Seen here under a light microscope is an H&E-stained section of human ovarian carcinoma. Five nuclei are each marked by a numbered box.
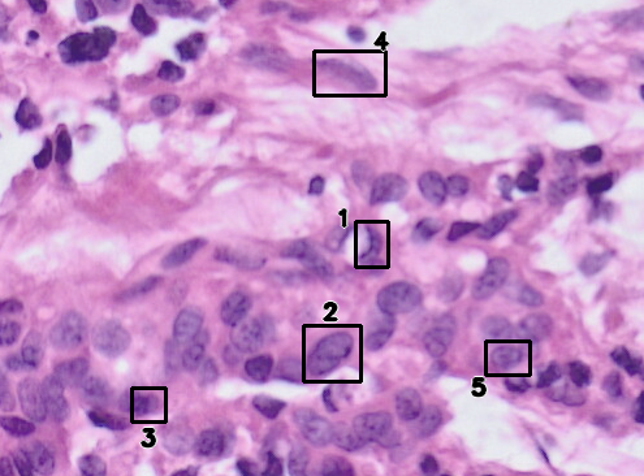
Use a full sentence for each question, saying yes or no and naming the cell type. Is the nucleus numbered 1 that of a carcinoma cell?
No, not a carcinoma cell: the cell with number 1 is an endothelial cell.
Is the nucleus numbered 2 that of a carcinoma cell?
Yes, number 2 marks a cell that is a carcinoma cell.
